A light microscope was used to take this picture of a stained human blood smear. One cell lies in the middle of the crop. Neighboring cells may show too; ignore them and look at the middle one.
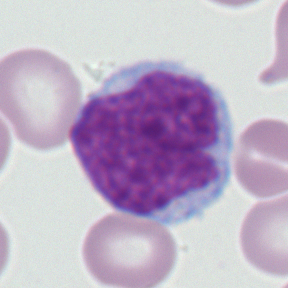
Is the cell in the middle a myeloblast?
no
